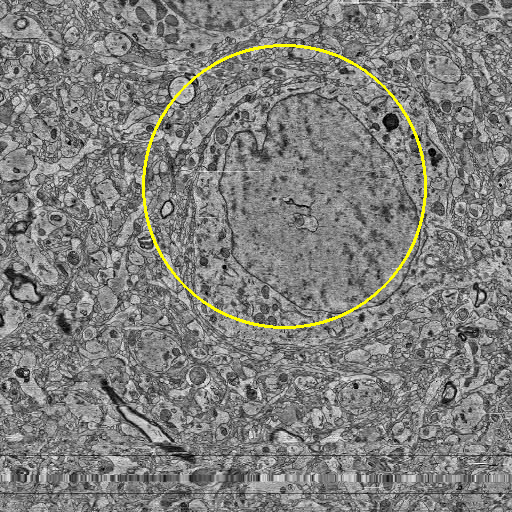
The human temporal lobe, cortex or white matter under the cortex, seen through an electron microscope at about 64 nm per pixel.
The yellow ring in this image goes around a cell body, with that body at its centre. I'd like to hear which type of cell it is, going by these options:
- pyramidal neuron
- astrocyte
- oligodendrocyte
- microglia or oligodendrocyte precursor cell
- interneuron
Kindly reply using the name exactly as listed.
pyramidal neuron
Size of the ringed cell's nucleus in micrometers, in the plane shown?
In this plane the nucleus spans approximately 15 by 12 micrometers.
